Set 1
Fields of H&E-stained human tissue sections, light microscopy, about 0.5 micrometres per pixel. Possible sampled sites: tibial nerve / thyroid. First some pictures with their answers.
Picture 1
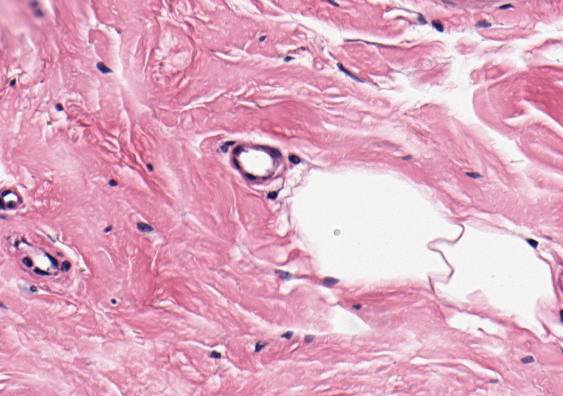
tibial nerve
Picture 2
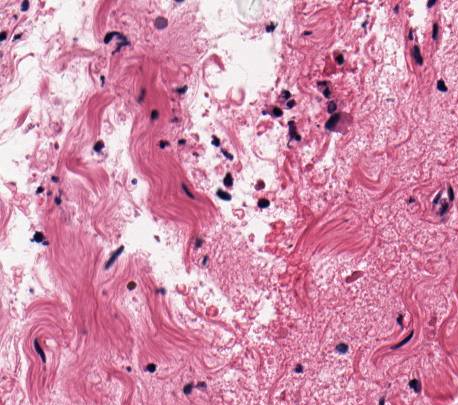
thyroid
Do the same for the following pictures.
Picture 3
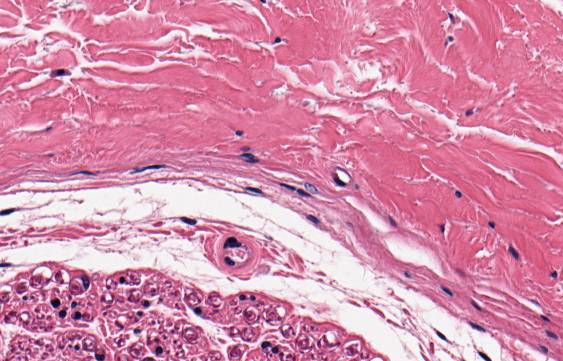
tibial nerve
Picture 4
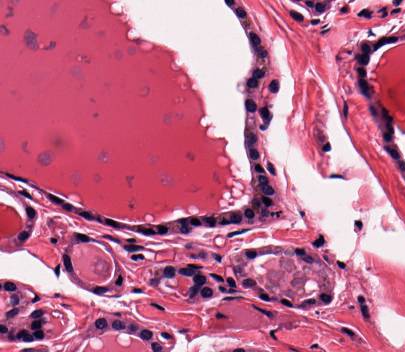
thyroid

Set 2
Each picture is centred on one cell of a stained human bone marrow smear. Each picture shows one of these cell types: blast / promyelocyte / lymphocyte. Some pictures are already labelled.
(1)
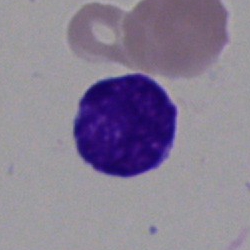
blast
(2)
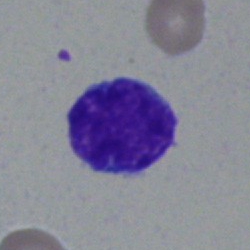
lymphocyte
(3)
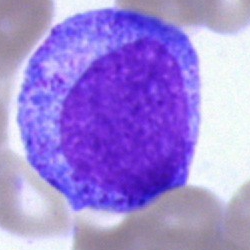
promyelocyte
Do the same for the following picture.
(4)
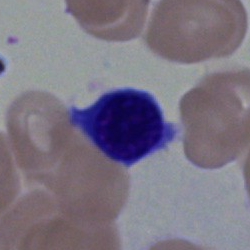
lymphocyte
